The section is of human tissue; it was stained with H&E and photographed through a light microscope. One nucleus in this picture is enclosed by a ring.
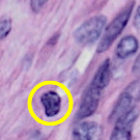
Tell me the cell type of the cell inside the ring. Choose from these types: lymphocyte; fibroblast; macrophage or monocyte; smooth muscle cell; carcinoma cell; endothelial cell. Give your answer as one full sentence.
In this preparation, the cell inside the ring is a lymphocyte.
